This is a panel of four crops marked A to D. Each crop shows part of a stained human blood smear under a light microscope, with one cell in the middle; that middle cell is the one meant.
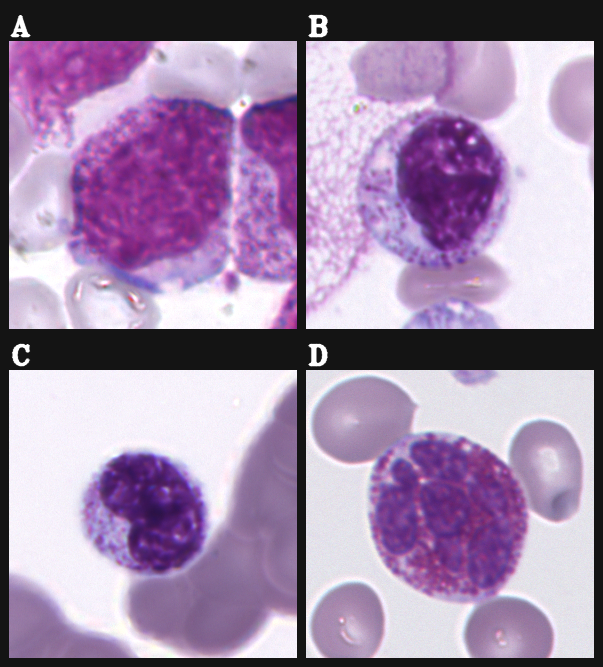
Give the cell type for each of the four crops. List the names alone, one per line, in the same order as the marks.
promyelocyte
metamyelocyte
metamyelocyte
eosinophil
